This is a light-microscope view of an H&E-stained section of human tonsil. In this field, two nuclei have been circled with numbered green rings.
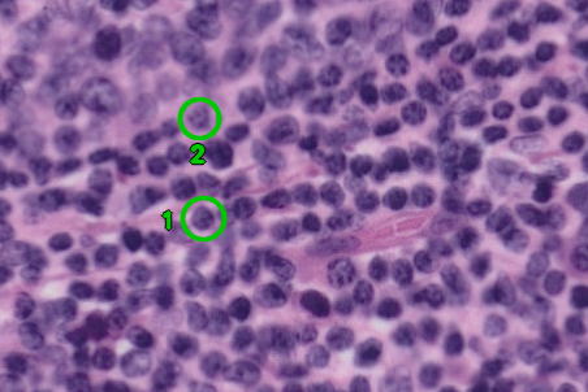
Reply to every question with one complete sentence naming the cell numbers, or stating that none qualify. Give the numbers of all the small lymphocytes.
Among the marked cells, cell number 1 alone is a small lymphocyte.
